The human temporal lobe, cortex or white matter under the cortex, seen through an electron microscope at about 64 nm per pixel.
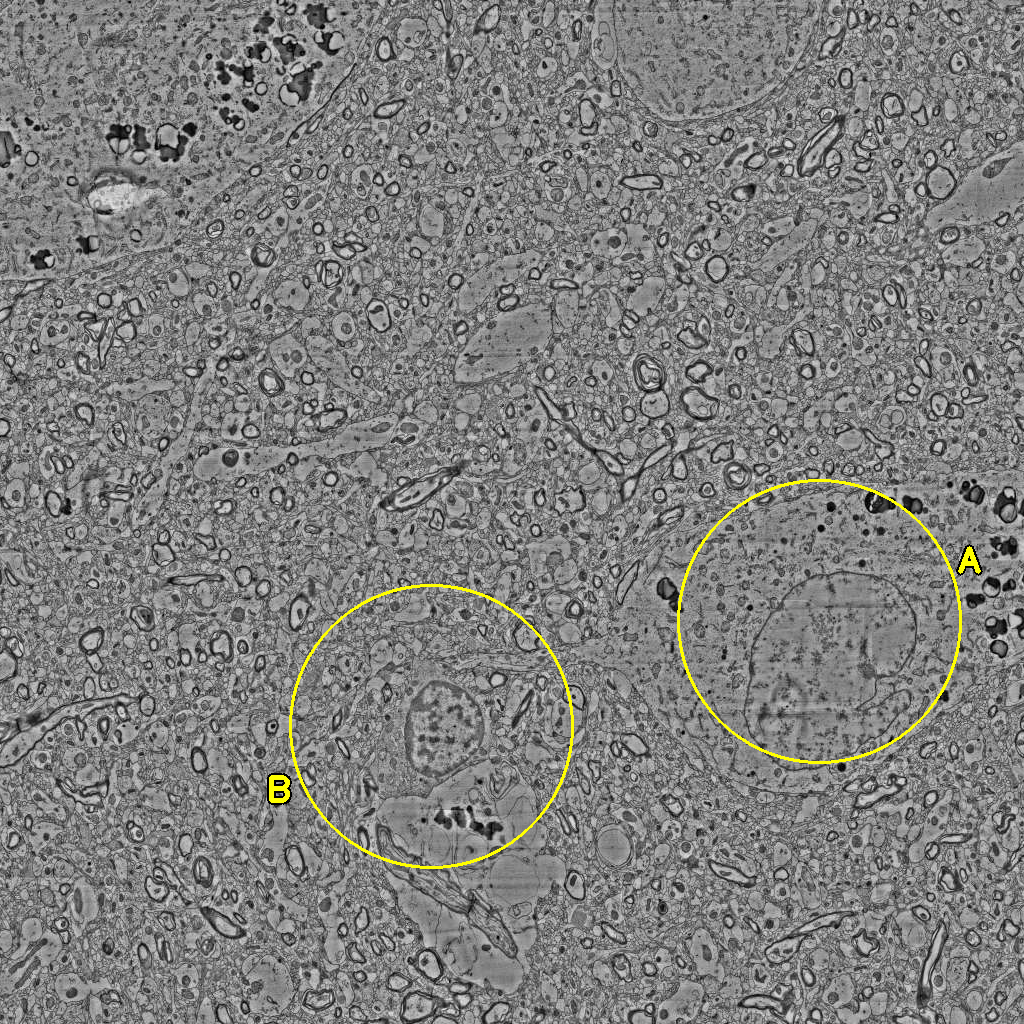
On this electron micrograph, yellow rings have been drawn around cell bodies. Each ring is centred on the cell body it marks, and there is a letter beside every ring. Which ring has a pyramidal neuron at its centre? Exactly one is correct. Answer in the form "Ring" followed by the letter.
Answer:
Ring A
